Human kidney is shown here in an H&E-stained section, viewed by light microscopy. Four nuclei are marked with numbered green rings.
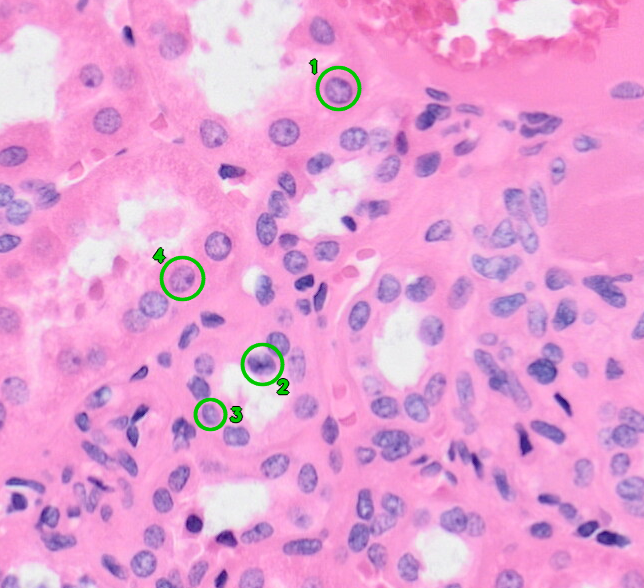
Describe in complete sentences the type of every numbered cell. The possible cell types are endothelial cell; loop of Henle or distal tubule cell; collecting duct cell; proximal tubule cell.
Cell 1 is a proximal tubule cell, cell 2 is a collecting duct cell, cell 3 is a collecting duct cell and cell 4 is a proximal tubule cell.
